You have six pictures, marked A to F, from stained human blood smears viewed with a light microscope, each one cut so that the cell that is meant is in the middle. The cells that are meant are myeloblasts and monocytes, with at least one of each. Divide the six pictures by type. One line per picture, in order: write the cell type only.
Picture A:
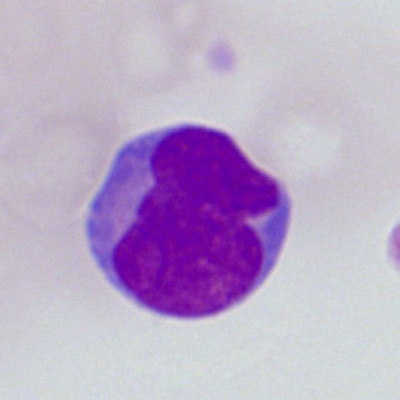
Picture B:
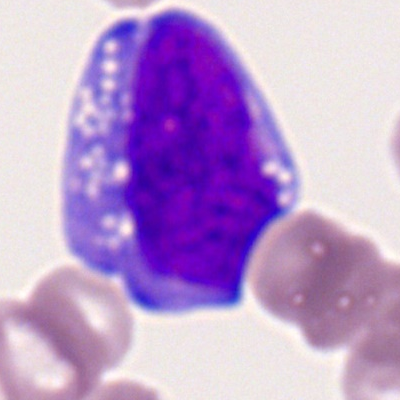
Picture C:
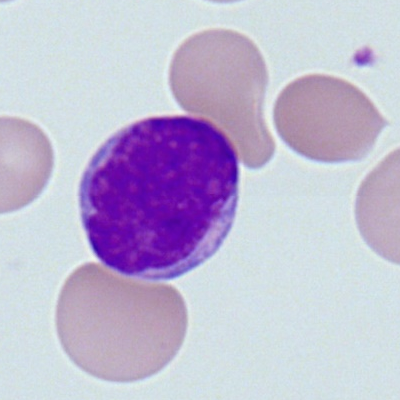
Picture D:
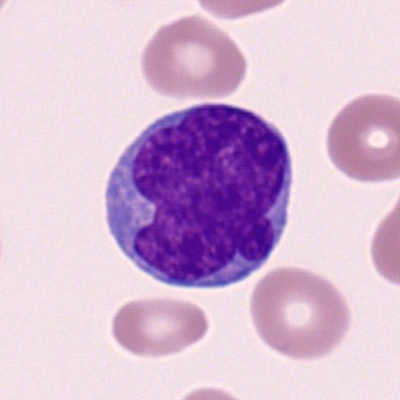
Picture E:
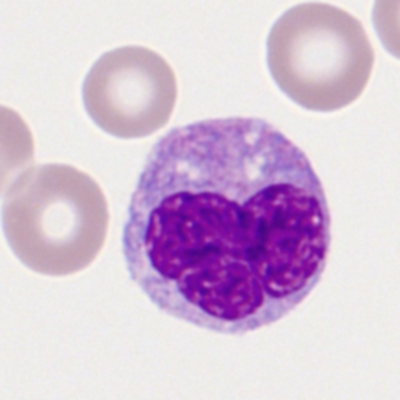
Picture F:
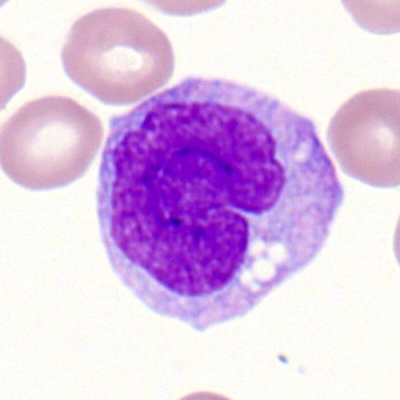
myeloblast
myeloblast
myeloblast
myeloblast
monocyte
monocyte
